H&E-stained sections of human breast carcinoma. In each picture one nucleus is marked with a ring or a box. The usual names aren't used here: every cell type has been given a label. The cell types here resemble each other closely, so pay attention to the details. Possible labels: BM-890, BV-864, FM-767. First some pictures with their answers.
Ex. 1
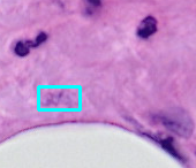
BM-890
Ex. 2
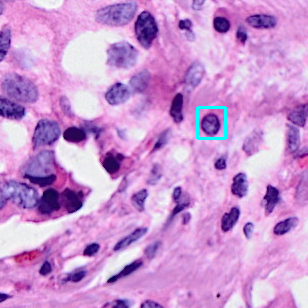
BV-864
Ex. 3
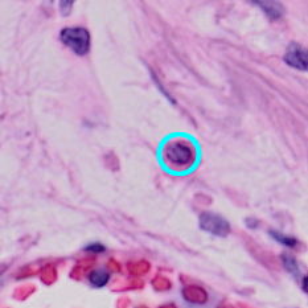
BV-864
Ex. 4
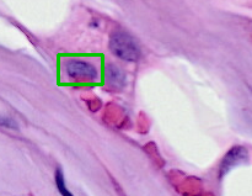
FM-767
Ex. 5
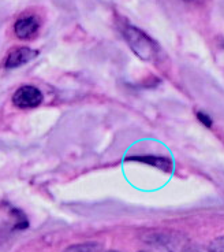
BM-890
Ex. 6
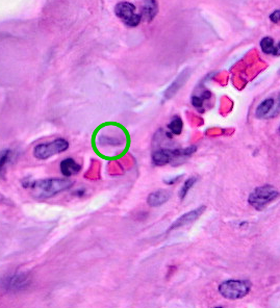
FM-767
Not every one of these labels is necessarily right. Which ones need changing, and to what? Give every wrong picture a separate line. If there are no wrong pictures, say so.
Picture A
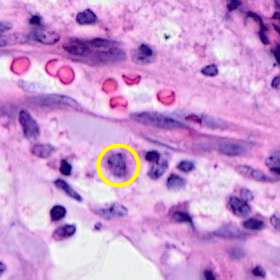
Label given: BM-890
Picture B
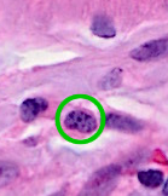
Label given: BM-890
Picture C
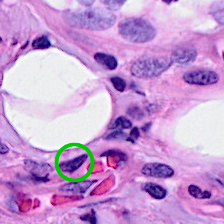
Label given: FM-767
A should be BV-864, not BM-890
B should be BV-864, not BM-890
